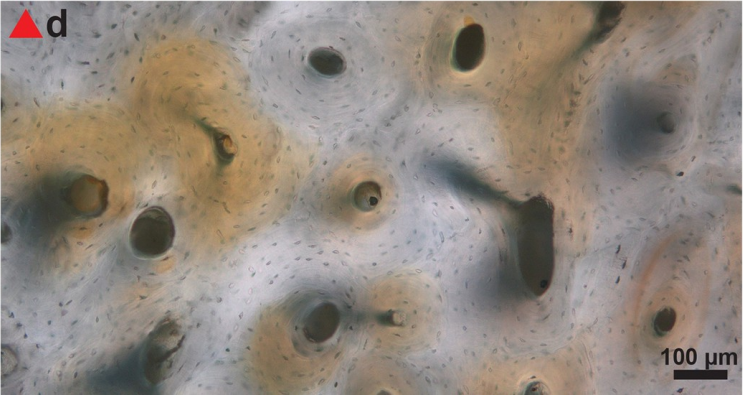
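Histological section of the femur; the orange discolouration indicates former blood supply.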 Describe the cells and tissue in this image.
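This is compact bone cut across, showing a mosaic of osteons. Each osteon has a round or oval central canal, seen as a dark-rimmed hole, surrounded by faint concentric lamellae. Throughout the matrix lie many small, dark, spindle-shaped osteocyte lacunae, arranged in rings that follow the lamellae, while interstitial bone fills the spaces between osteons. The matrix is mostly pale bluish-grey, but several osteons are tinged orange-brown around their canals, and a few darker blue-grey smudges appear near some canals. Cracks are scarcely seen and the lacunae are sharply outlined, so the bone looks well preserved.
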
